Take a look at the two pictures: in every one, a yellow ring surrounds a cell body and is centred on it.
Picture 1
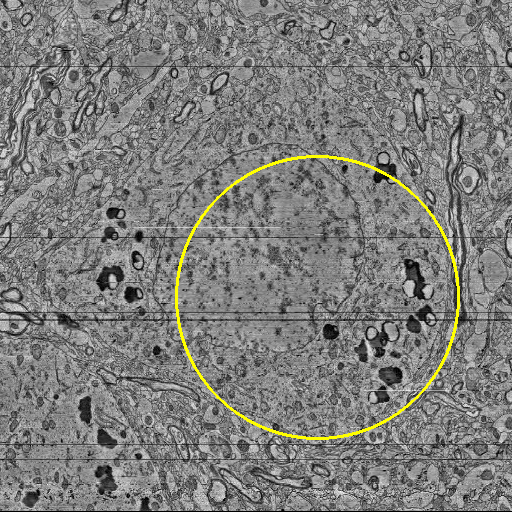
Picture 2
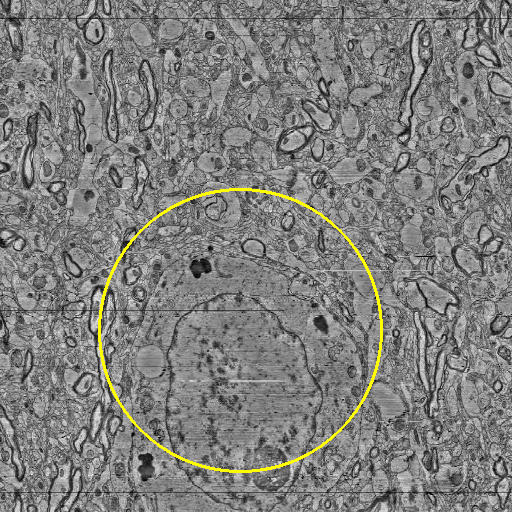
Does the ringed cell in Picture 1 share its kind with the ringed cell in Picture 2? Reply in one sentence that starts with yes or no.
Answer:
Yes, the two centred cells, one per picture, are of one kind.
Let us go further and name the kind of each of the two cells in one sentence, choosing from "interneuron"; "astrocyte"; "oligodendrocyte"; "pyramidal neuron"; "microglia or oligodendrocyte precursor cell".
In both pictures the ring is centred on a pyramidal neuron.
